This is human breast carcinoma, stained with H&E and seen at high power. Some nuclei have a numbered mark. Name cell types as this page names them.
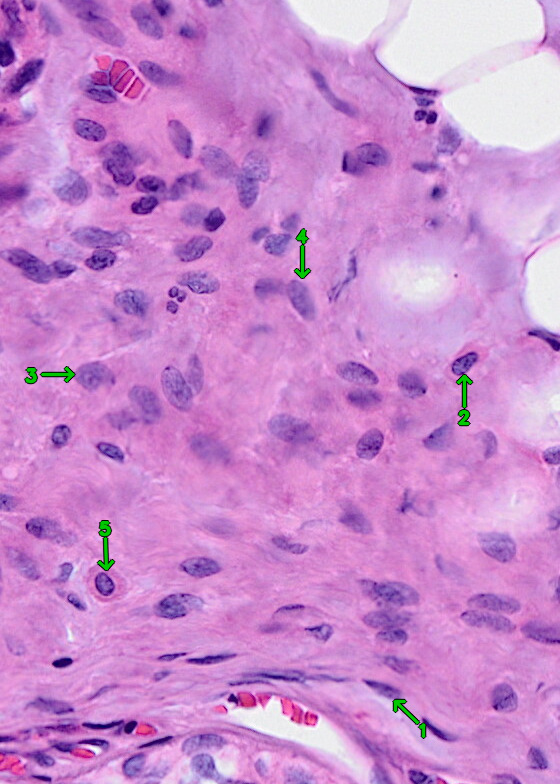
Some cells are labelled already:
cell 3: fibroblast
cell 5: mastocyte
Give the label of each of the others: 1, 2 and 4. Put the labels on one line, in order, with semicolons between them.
fibroblast; mastocyte; fibroblast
